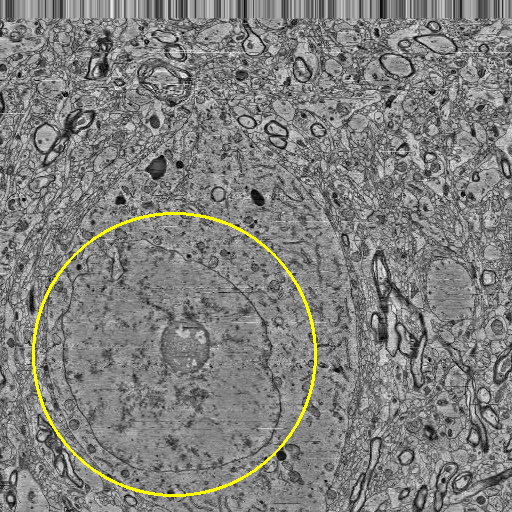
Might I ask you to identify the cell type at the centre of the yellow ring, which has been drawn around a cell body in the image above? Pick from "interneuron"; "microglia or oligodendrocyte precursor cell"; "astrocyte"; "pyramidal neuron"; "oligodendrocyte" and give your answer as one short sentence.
The centre of the ring falls on a pyramidal neuron.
